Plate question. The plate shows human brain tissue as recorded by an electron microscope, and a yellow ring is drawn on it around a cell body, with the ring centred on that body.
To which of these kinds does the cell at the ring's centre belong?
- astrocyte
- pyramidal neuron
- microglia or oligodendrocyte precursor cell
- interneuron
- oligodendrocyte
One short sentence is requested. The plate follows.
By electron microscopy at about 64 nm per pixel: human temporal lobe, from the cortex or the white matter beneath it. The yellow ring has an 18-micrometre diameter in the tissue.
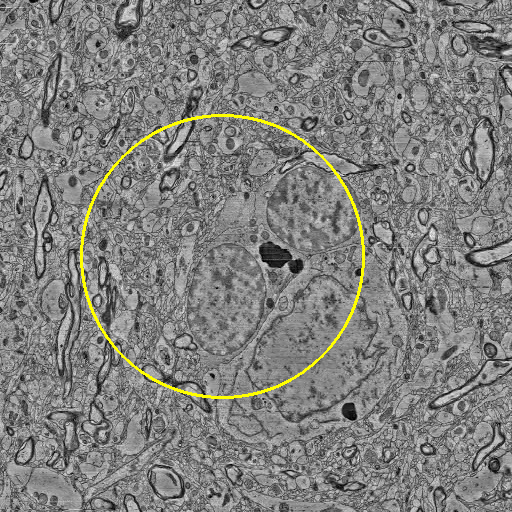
The cell at the ring's centre is an oligodendrocyte.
